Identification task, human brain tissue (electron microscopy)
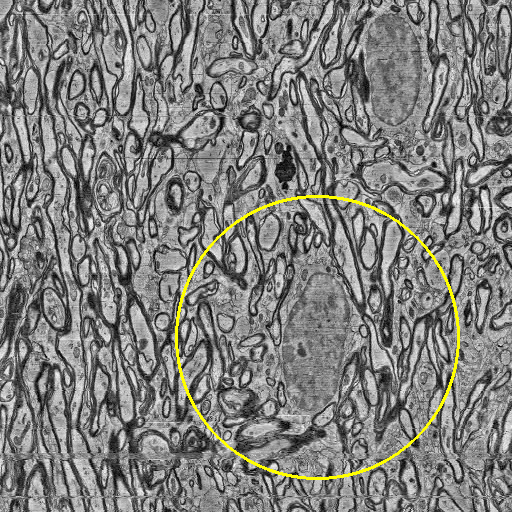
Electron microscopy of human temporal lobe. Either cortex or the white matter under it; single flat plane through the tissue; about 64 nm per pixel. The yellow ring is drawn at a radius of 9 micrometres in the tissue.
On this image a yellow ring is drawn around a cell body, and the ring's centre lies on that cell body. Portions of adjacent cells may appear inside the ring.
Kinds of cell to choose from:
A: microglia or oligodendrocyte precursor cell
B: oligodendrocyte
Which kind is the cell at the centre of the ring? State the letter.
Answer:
B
